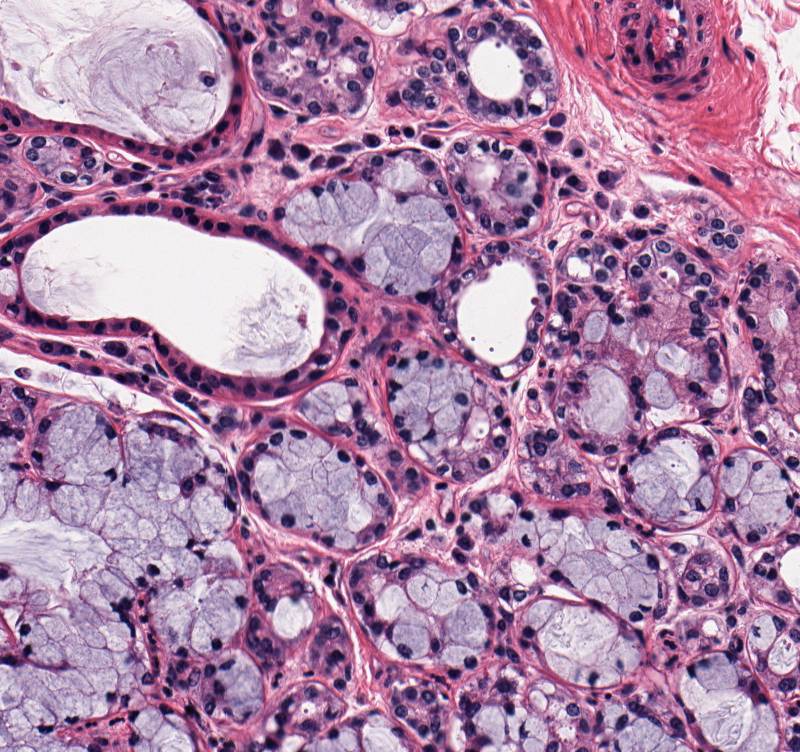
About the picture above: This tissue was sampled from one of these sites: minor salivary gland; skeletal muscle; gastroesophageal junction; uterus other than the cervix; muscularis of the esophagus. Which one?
minor salivary gland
